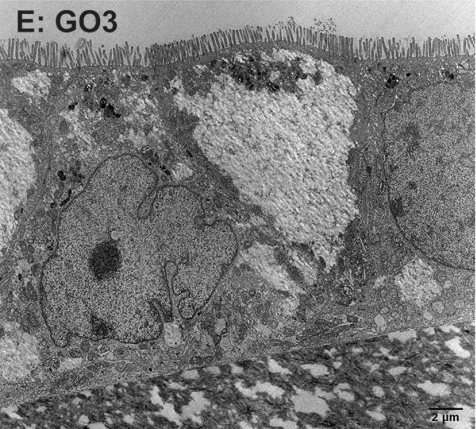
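The cells have large, irregular, deeply indented nuclei, one with a dark nucleolus, and cytoplasm holding large pale, finely granular areas and dark granules near the apex. The layer rests on a porous support seen at the bottom.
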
